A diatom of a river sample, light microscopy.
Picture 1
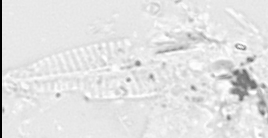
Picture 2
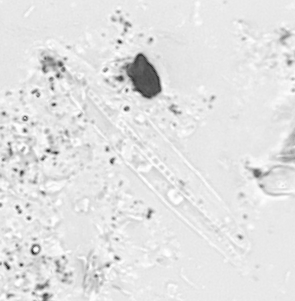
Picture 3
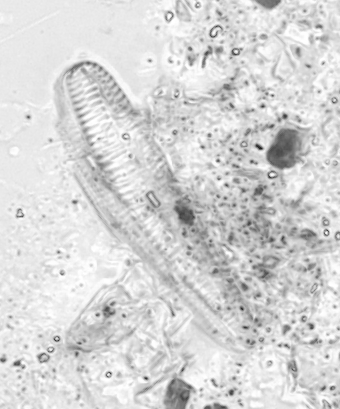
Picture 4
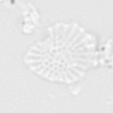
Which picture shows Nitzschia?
Picture 2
